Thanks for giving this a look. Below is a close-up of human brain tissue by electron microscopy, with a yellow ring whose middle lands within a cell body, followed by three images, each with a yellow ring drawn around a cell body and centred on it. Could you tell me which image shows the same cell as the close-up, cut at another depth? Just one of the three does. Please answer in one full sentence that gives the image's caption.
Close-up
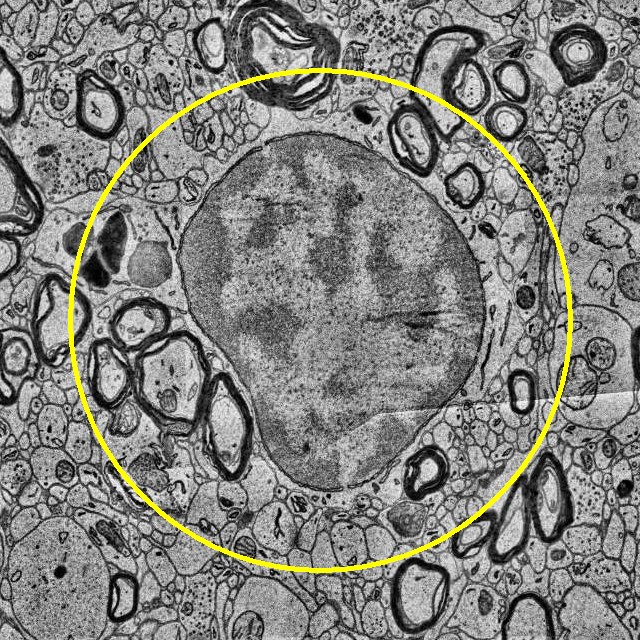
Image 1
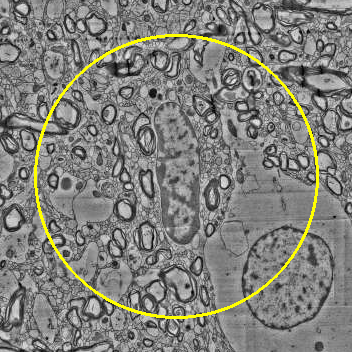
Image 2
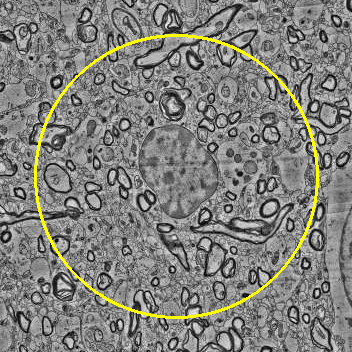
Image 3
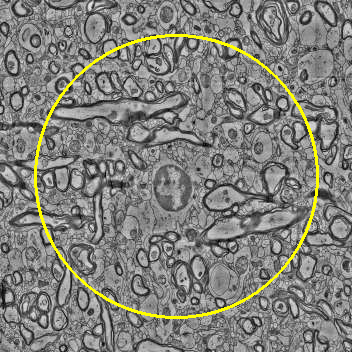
The close-up captures the cell that carries a yellow ring in Image 2.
